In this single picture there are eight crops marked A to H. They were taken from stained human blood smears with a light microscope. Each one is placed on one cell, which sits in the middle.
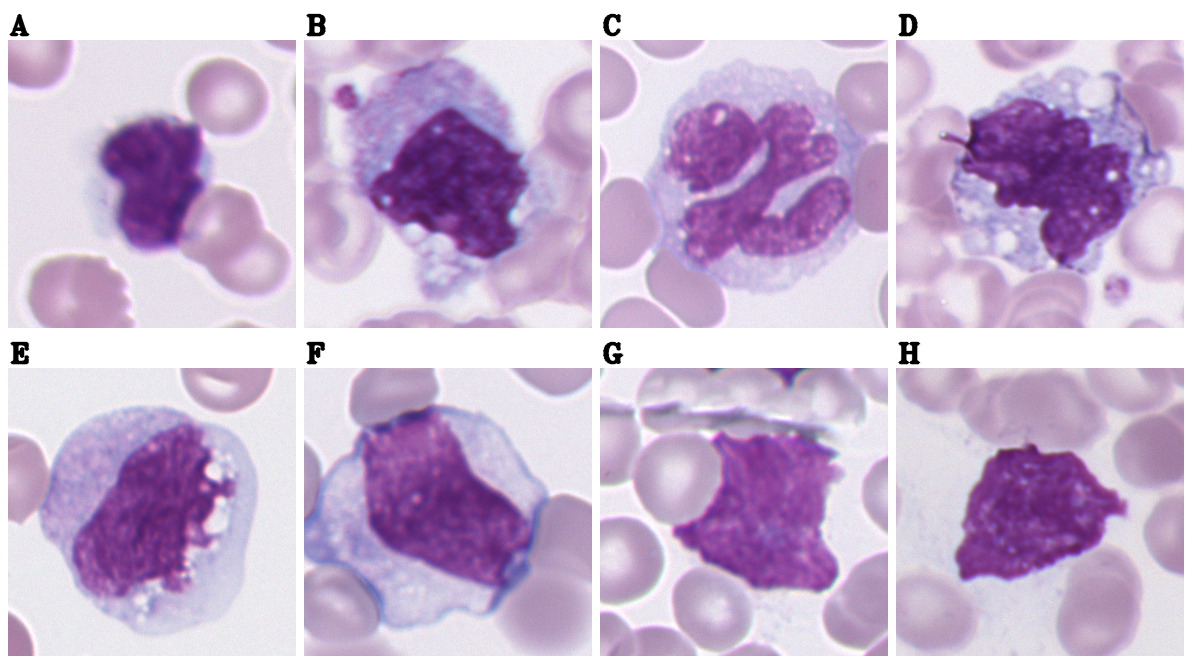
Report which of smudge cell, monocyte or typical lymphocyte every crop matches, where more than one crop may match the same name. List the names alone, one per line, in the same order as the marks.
typical lymphocyte
monocyte
monocyte
monocyte
monocyte
monocyte
smudge cell
smudge cell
